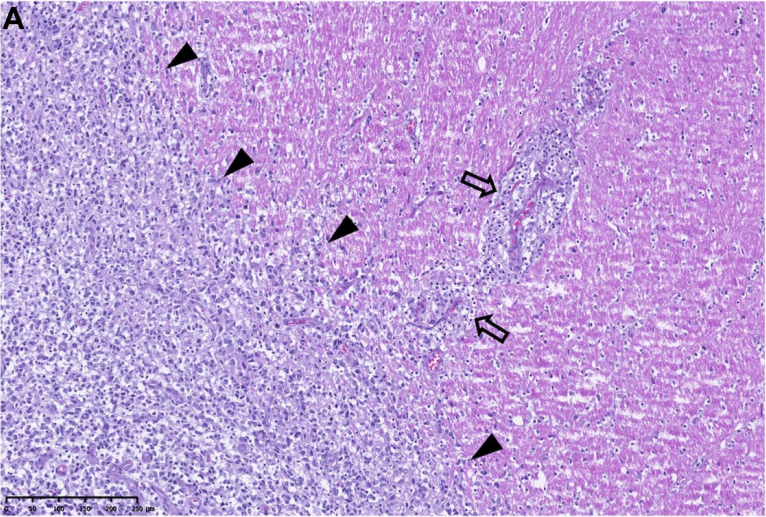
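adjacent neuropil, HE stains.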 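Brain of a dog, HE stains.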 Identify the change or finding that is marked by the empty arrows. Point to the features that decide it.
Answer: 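Perivascular aggregation of glioma cells. Dense clusters of small dark nuclei are gathered around a blood vessel.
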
